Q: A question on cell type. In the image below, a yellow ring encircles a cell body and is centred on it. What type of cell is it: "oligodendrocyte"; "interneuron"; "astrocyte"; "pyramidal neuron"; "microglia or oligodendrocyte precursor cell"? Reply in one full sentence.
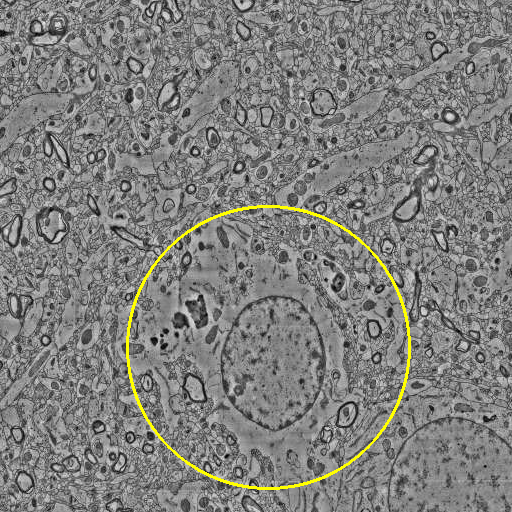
It is an astrocyte whose cell body sits at the centre of the yellow ring in the image.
